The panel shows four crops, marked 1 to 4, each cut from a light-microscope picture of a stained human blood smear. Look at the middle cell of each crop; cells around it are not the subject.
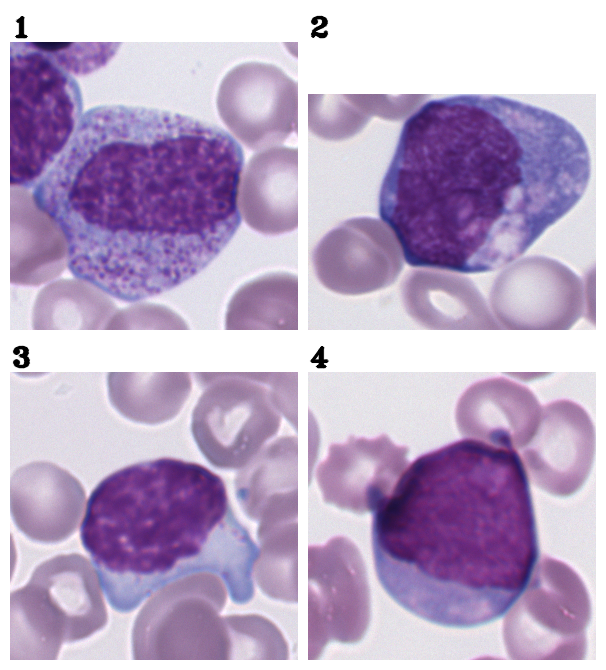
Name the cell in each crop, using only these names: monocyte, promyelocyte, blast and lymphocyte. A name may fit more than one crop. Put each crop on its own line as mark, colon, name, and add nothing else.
1: promyelocyte
2: promyelocyte
3: blast
4: blast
